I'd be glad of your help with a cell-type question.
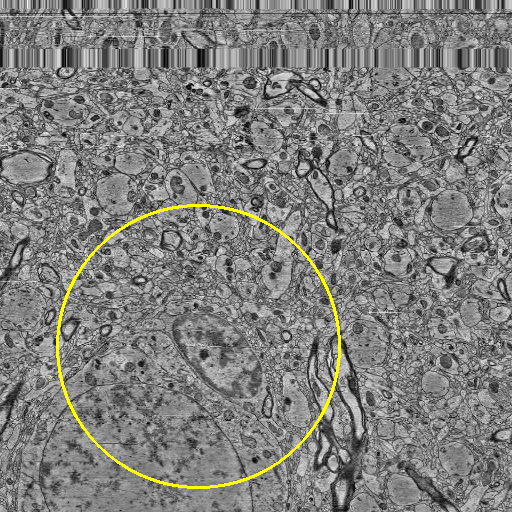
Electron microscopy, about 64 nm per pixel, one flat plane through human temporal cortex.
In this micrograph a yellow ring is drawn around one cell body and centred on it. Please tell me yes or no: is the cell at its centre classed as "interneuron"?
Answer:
no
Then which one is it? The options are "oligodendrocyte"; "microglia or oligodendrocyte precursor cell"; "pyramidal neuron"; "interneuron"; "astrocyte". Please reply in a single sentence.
The cell in the ring is an oligodendrocyte instead.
